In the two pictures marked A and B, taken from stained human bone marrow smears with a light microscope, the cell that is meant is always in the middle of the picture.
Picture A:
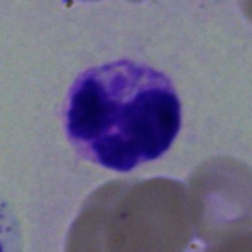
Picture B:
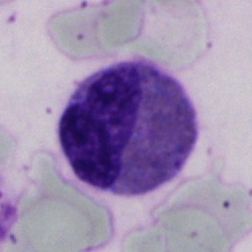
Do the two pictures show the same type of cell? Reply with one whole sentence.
No, the types are not the same, since picture A shows a basophil and picture B an eosinophil.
